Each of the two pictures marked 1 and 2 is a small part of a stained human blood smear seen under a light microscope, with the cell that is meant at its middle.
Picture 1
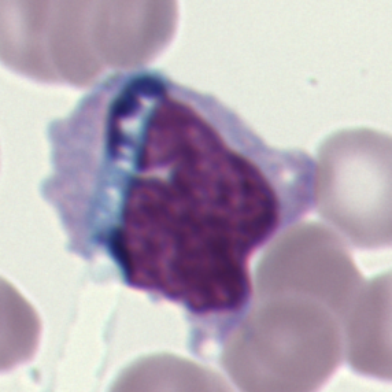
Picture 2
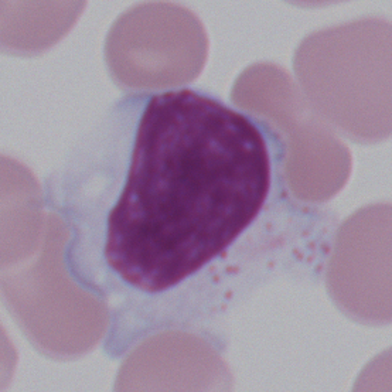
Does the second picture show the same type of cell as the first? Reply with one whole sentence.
No; the cell in picture 1 is a monocyte, while the one in picture 2 is a large granular lymphocyte.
